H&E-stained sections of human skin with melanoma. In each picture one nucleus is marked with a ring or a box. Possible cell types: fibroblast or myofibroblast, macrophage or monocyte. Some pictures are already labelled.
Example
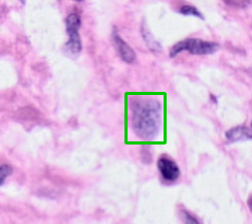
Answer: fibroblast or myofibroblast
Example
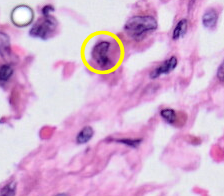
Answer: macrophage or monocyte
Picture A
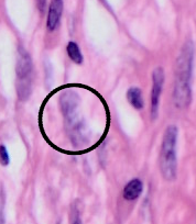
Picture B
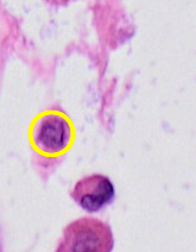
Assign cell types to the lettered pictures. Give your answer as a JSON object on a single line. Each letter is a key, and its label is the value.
{"A": "fibroblast or myofibroblast", "B": "macrophage or monocyte"}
